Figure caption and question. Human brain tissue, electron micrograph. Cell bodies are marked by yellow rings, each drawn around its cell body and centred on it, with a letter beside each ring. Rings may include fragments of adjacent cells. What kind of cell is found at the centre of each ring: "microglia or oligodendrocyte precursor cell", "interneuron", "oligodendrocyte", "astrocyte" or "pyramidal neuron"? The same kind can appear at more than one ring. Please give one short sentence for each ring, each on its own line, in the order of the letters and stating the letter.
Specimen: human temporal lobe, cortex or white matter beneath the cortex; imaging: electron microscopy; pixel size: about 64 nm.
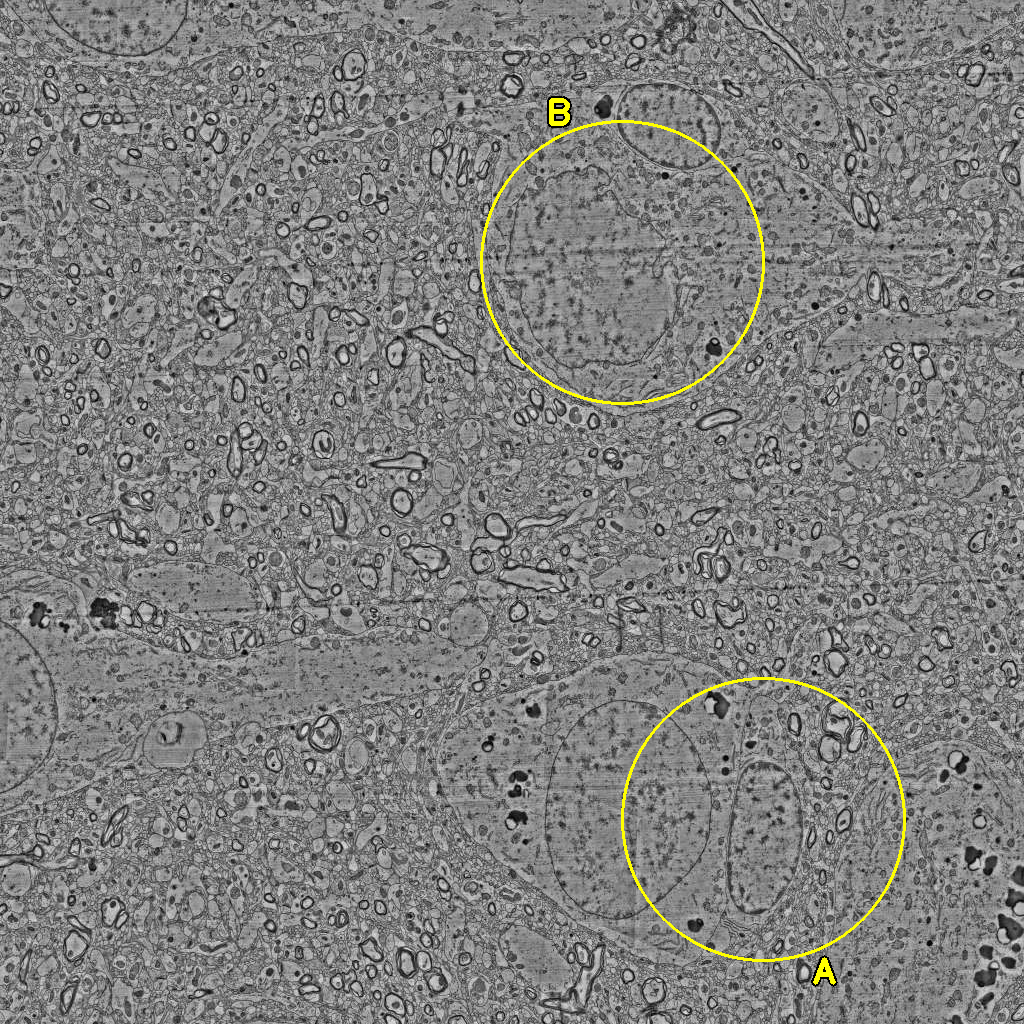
The centre of ring A falls on a microglial cell or oligodendrocyte precursor cell.
The centre of ring B falls on a pyramidal neuron.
